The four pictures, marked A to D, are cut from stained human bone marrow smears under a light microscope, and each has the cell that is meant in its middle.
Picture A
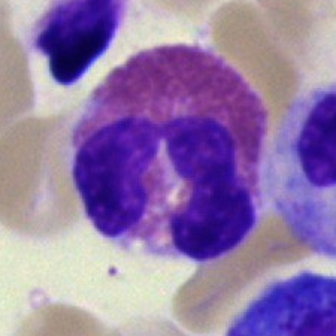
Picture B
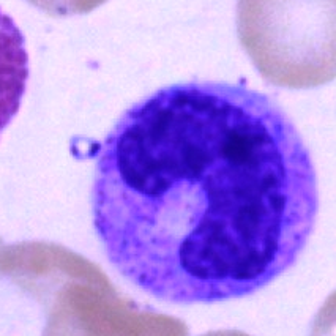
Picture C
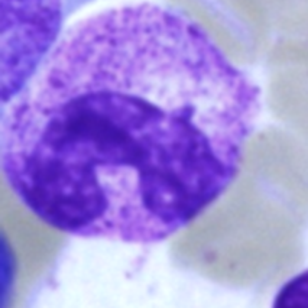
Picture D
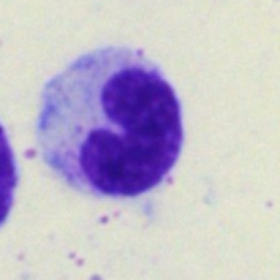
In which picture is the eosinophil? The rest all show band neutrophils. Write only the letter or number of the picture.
A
